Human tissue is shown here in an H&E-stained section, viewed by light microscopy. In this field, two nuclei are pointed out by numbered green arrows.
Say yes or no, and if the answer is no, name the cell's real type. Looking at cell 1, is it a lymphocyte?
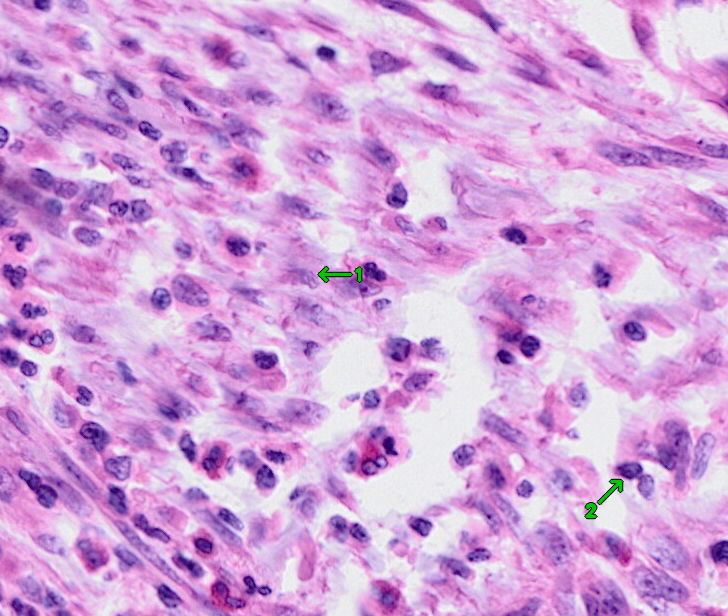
No, it is a fibroblast.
